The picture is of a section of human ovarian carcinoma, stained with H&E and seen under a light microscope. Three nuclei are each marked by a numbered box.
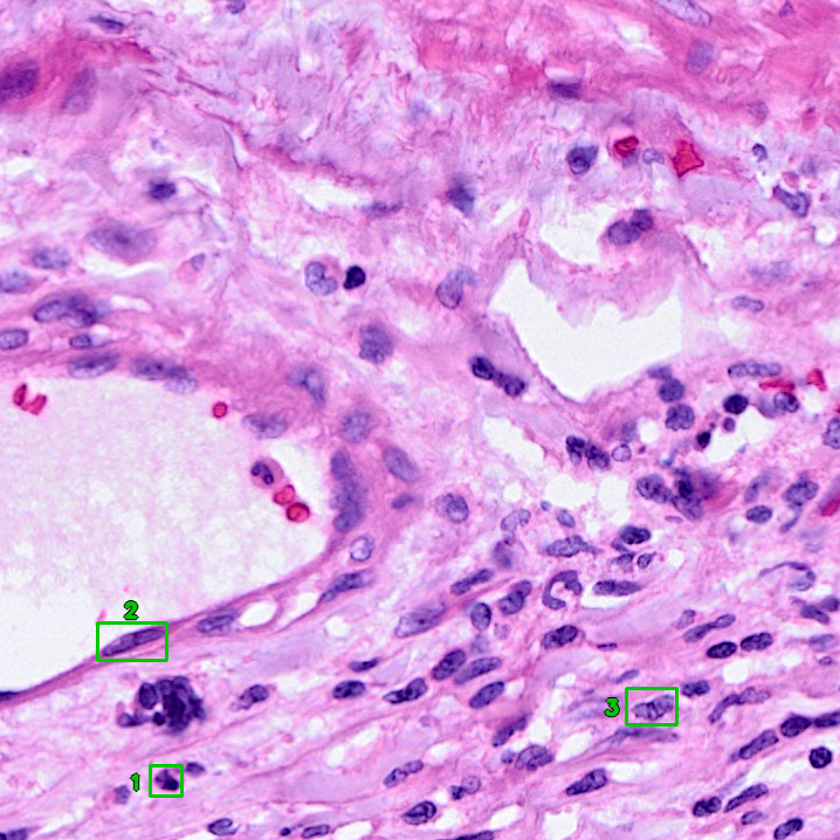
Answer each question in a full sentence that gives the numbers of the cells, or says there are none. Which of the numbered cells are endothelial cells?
Among the marked cells, cell number 2 alone is an endothelial cell.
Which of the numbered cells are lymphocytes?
Only the cell numbered 1 is a lymphocyte, and the others are something else.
